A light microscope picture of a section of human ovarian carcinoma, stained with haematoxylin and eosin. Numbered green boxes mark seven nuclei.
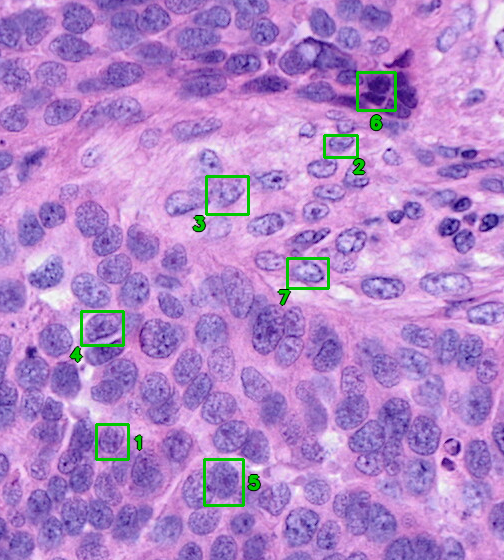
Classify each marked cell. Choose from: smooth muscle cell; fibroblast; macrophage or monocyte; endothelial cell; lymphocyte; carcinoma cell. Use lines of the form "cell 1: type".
cell 1: carcinoma cell
cell 2: fibroblast
cell 3: fibroblast
cell 4: carcinoma cell
cell 5: carcinoma cell
cell 6: carcinoma cell
cell 7: fibroblast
